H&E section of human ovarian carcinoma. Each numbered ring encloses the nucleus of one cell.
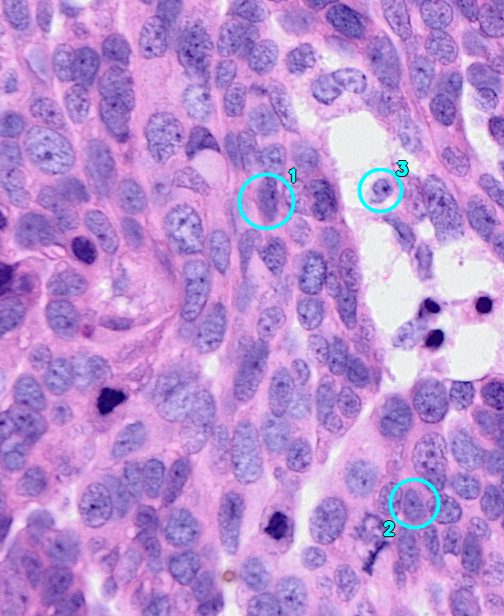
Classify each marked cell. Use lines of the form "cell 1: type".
cell 1: carcinoma cell
cell 2: carcinoma cell
cell 3: macrophage or monocyte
